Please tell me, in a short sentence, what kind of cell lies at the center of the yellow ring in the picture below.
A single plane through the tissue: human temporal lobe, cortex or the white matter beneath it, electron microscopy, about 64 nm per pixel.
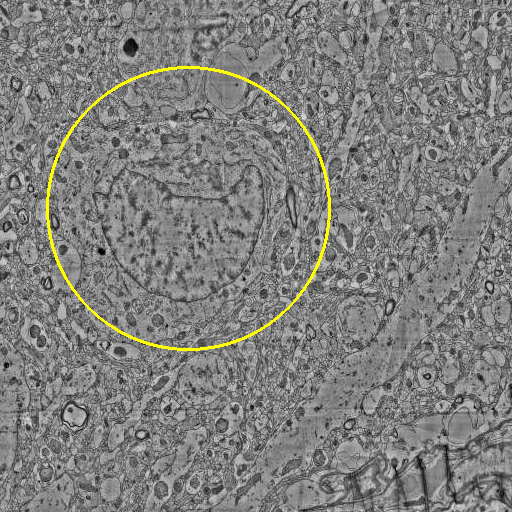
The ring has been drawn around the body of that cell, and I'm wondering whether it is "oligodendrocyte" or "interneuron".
The cell at the center of the ring is an interneuron.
